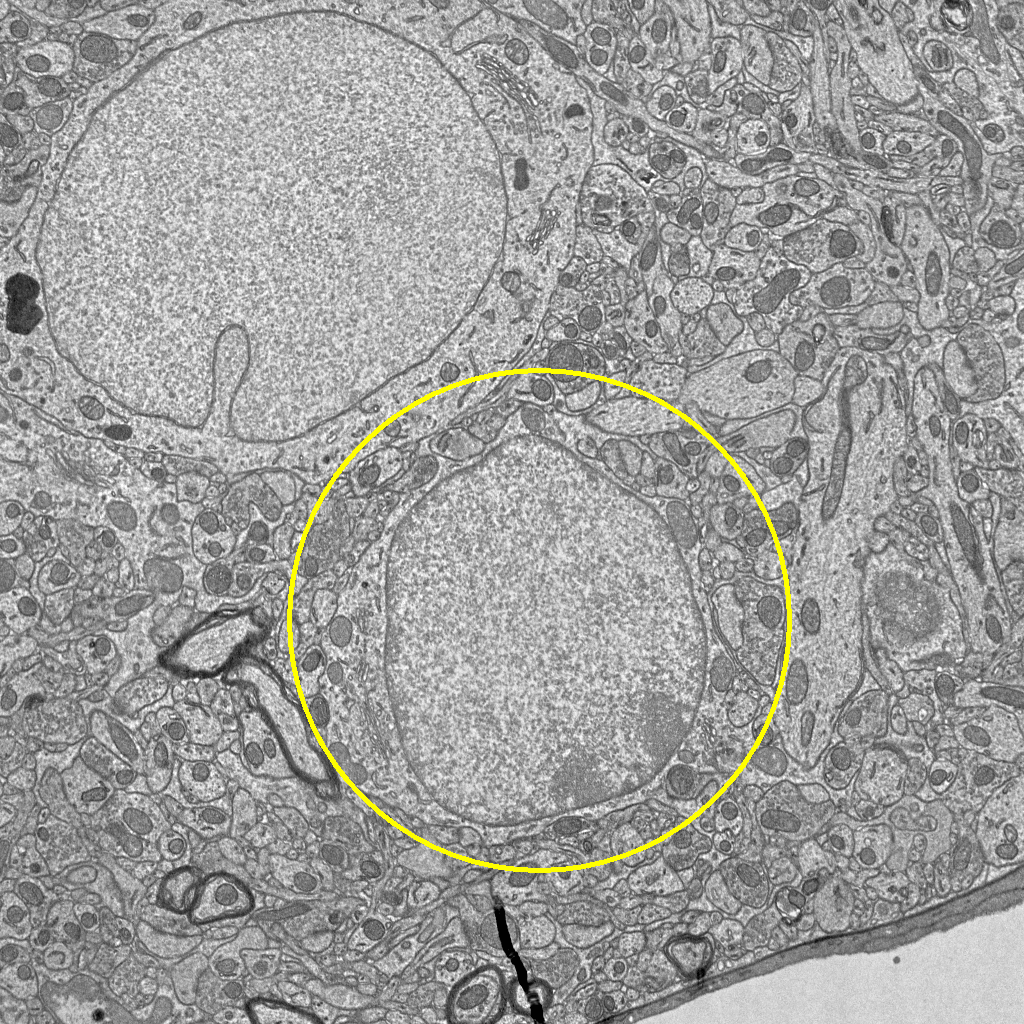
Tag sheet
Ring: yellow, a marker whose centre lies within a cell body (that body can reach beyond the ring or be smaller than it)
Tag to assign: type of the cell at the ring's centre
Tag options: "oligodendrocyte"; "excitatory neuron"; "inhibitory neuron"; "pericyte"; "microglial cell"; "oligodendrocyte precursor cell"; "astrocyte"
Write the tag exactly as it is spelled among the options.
astrocyte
